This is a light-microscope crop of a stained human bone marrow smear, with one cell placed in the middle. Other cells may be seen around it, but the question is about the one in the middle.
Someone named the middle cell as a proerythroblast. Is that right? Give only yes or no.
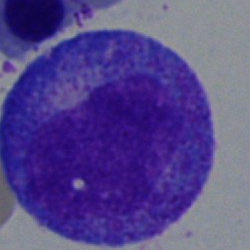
no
